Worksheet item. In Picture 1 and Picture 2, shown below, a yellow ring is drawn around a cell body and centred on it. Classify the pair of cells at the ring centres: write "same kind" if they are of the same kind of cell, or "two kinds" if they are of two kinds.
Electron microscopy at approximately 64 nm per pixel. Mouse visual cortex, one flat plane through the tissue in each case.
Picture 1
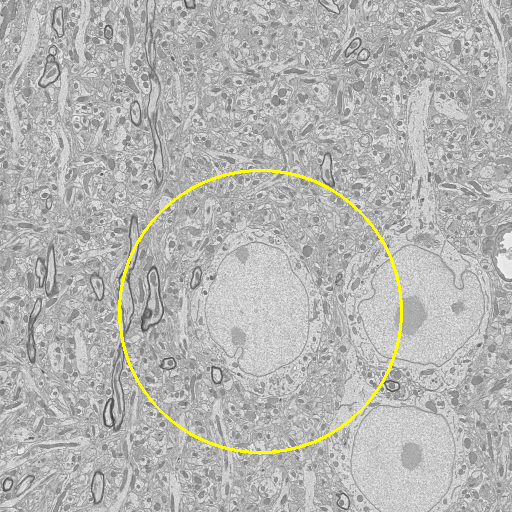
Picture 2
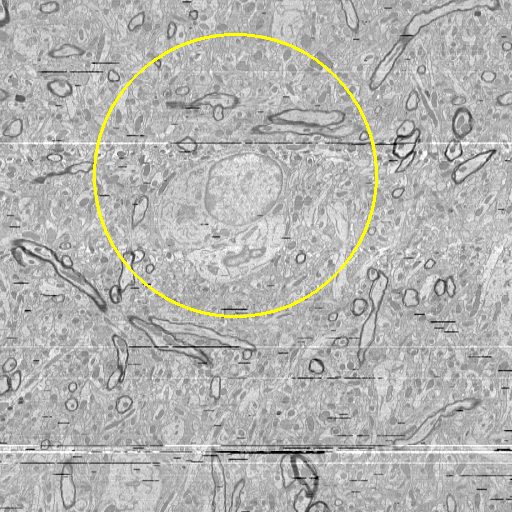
two kinds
